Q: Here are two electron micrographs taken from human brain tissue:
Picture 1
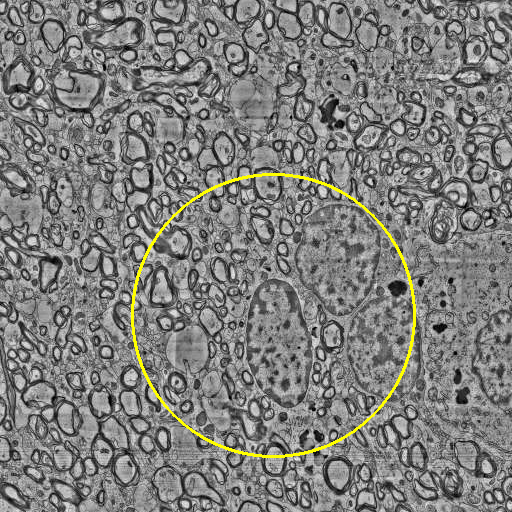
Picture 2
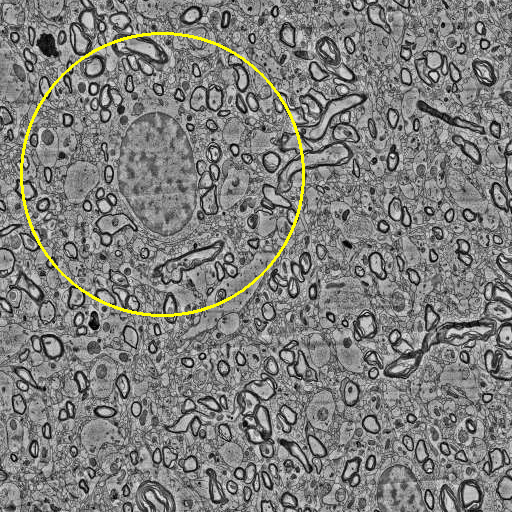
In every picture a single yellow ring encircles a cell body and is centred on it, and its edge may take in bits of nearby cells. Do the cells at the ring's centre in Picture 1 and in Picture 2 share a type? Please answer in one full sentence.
No, the cells at the ring's centre in Picture 1 and Picture 2 are of two types.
